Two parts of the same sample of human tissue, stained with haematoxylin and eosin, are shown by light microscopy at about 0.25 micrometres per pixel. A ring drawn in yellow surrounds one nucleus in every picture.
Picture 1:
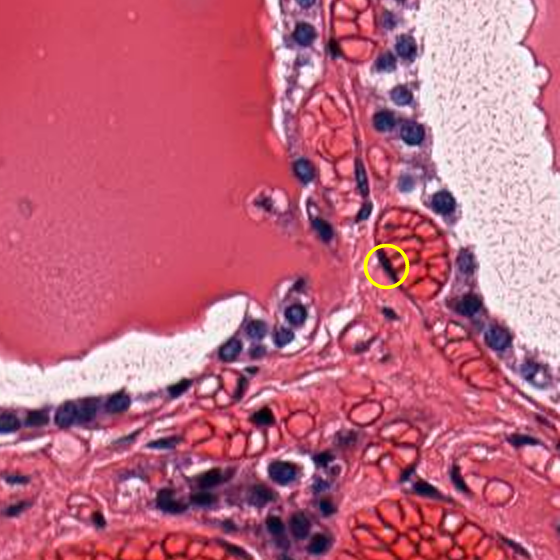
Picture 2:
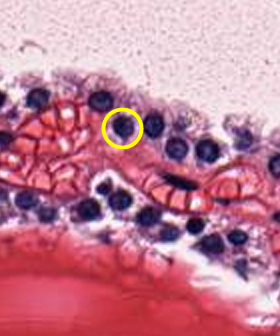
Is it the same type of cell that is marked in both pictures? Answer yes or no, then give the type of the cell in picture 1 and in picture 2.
No, the first is an endothelial cell and the second a thyroid follicular cell.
